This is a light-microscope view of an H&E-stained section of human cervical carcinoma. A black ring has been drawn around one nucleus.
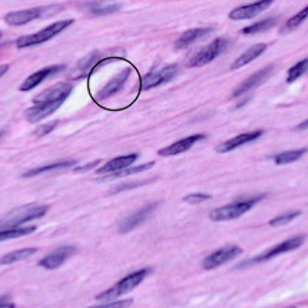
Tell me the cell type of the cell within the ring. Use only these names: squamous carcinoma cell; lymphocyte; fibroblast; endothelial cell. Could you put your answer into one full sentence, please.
The category to which the cell within the ring belongs is that of an endothelial cell.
